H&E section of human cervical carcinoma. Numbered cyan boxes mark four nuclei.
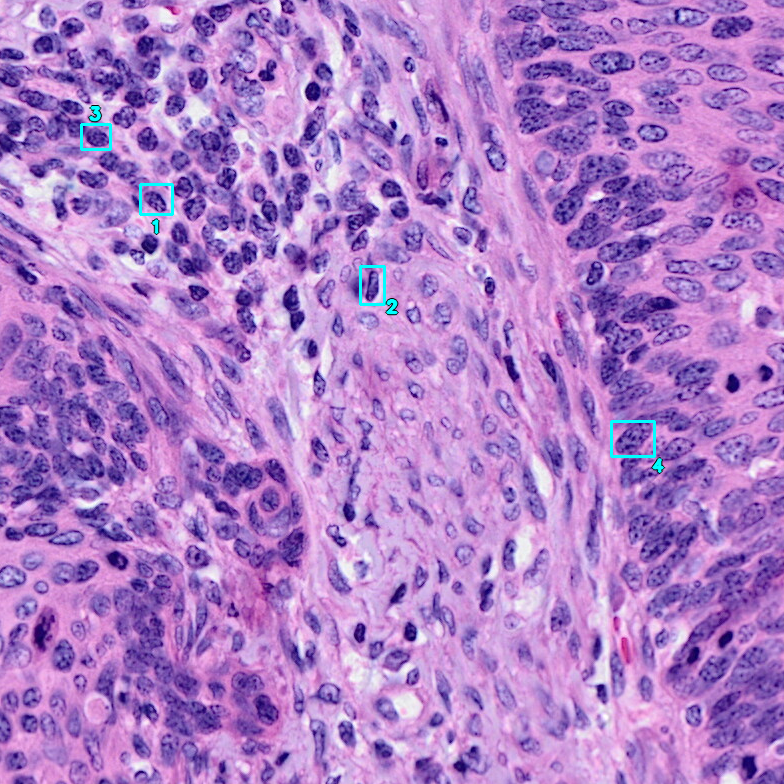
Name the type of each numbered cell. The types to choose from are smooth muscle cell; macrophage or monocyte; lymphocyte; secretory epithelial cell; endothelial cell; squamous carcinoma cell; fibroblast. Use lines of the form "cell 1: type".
cell 1: lymphocyte
cell 2: lymphocyte
cell 3: lymphocyte
cell 4: squamous carcinoma cell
